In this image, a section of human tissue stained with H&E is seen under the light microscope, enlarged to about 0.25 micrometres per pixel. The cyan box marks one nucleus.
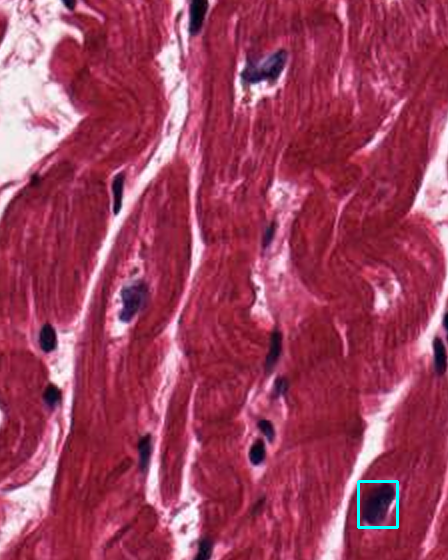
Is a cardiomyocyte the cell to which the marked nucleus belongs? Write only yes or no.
yes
